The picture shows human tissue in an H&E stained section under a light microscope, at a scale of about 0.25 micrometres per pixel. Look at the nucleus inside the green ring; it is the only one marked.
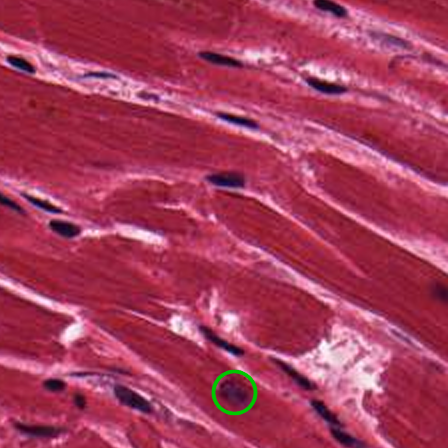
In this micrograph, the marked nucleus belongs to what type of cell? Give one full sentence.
The marked nucleus sits within a cardiomyocyte.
